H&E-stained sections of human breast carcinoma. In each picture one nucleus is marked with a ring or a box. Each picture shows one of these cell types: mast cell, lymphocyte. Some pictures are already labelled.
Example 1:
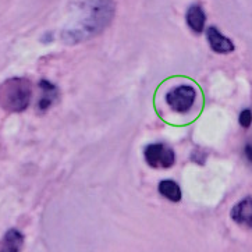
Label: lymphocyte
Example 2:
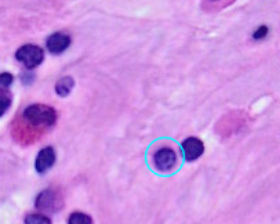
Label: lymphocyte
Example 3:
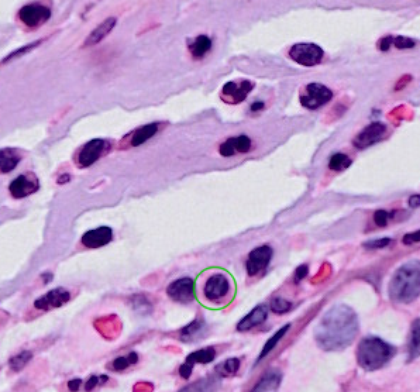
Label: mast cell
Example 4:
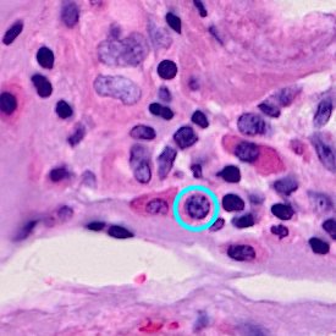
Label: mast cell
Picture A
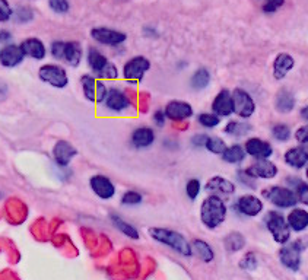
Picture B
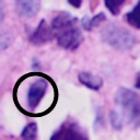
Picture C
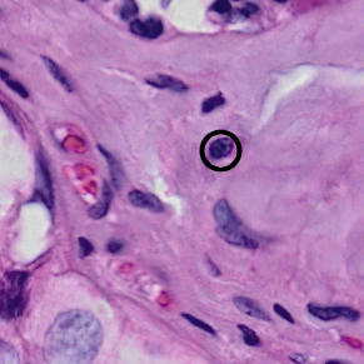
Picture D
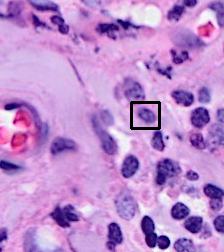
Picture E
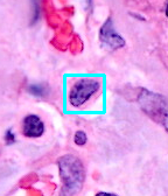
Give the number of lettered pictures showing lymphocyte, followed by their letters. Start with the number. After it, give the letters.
2: A, B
